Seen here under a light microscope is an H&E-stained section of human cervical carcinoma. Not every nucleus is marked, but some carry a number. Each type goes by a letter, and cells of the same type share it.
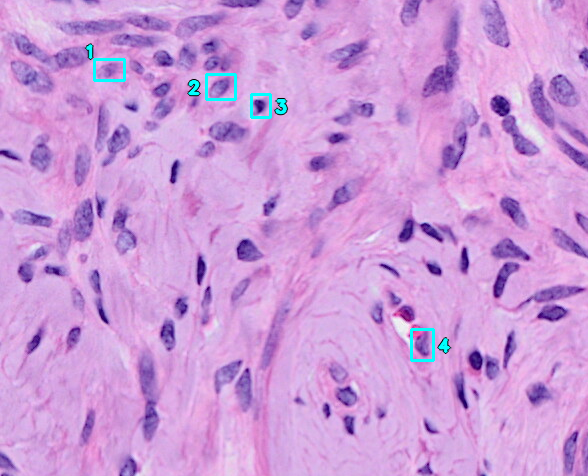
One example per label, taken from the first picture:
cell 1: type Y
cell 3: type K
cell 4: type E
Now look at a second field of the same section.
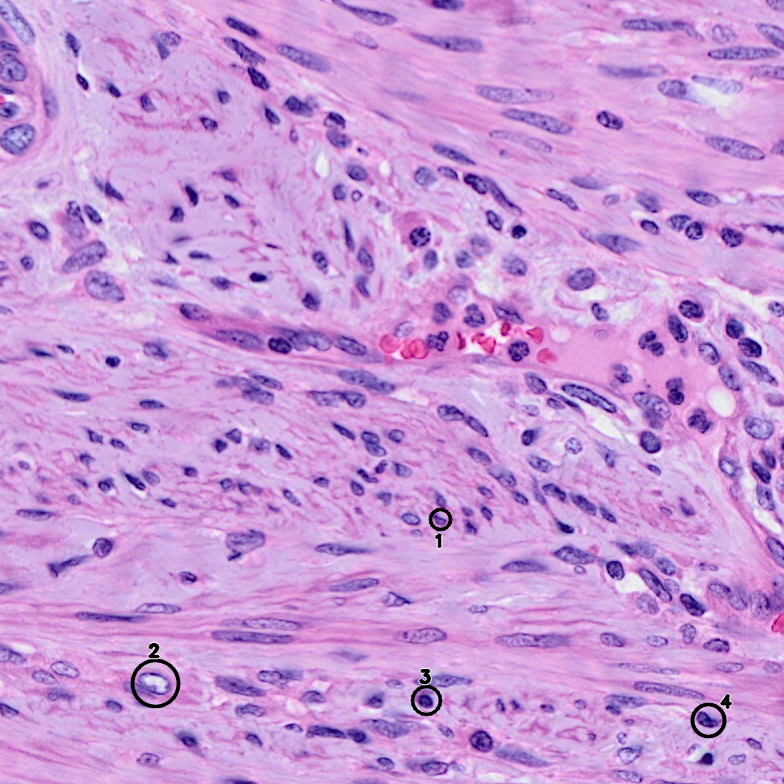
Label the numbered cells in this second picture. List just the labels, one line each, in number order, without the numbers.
type Y
type E
type K
type K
